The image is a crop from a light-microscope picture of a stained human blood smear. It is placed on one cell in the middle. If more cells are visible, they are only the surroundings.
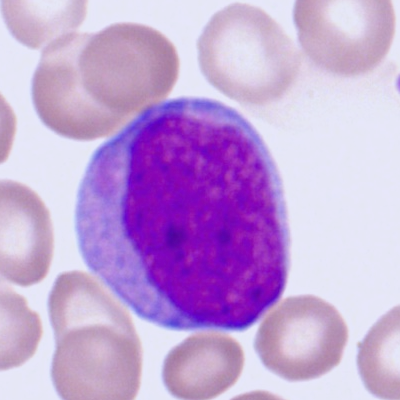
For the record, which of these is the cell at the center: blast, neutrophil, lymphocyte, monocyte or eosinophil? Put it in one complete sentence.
Classification of the middle cell gives a blast.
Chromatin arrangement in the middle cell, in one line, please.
Check the chromatin: it is fine and not coarsely clumped.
